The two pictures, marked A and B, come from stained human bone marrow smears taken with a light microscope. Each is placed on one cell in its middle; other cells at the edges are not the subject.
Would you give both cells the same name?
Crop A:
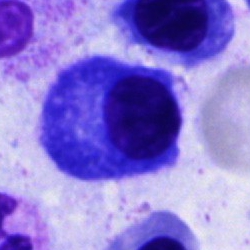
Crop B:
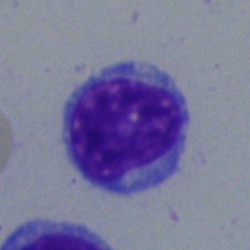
no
